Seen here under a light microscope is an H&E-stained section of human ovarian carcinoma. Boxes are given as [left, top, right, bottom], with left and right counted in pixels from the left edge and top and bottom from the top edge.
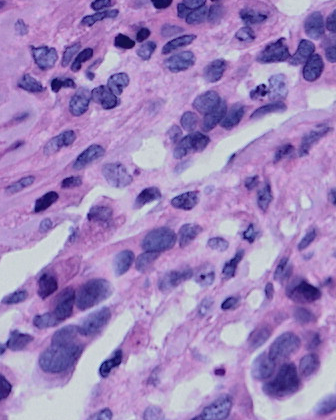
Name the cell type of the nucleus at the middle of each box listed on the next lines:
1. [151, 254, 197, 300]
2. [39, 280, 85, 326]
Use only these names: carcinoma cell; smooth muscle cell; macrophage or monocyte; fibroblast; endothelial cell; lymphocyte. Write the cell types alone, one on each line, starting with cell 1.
fibroblast
carcinoma cell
